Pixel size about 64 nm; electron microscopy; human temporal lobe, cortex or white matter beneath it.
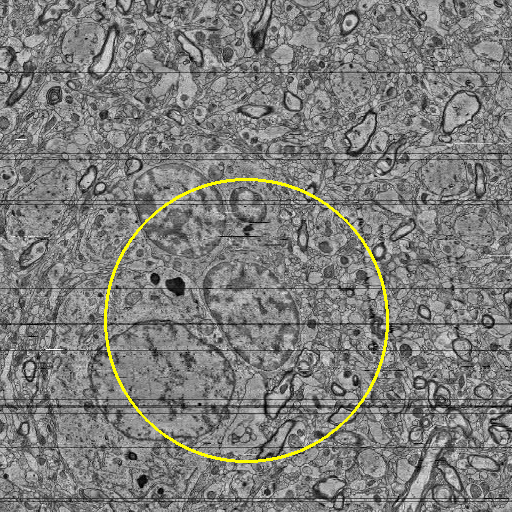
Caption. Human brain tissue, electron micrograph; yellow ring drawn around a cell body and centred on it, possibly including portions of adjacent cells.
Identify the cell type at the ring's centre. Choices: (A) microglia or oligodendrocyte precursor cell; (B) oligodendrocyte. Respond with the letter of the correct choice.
B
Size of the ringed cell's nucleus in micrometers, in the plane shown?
The nucleus comes to roughly 8 by 5 micrometres in this plane.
